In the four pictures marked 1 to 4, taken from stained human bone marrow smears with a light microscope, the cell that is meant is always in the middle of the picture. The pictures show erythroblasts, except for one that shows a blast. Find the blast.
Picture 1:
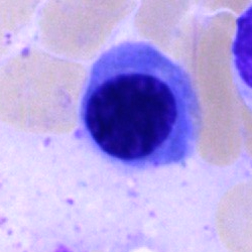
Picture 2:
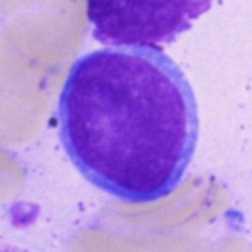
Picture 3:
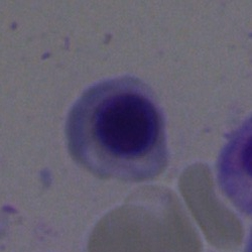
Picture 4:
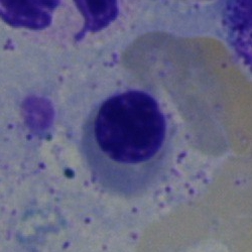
2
